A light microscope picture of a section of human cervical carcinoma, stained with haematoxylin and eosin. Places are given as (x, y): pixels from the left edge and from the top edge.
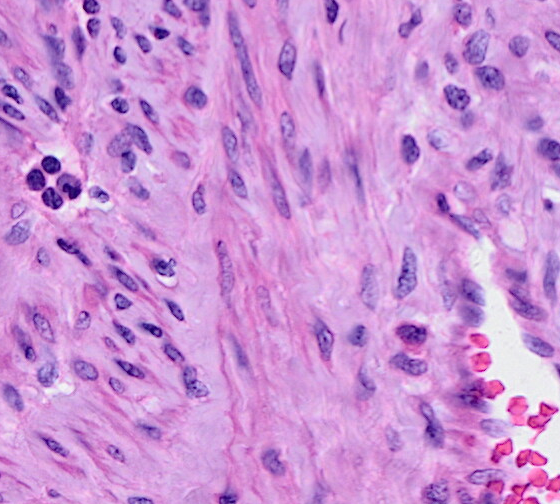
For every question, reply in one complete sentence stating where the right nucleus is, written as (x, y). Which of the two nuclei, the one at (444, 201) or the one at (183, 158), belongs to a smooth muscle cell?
That would be the nucleus at (183, 158); it belongs to a smooth muscle cell.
